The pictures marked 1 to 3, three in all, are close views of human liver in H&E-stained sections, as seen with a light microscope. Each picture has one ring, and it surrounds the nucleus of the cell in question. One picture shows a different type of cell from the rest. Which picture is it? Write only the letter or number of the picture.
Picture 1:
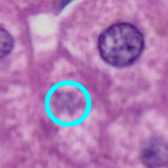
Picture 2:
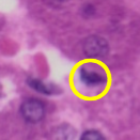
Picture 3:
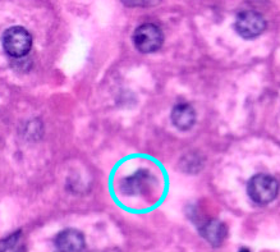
1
